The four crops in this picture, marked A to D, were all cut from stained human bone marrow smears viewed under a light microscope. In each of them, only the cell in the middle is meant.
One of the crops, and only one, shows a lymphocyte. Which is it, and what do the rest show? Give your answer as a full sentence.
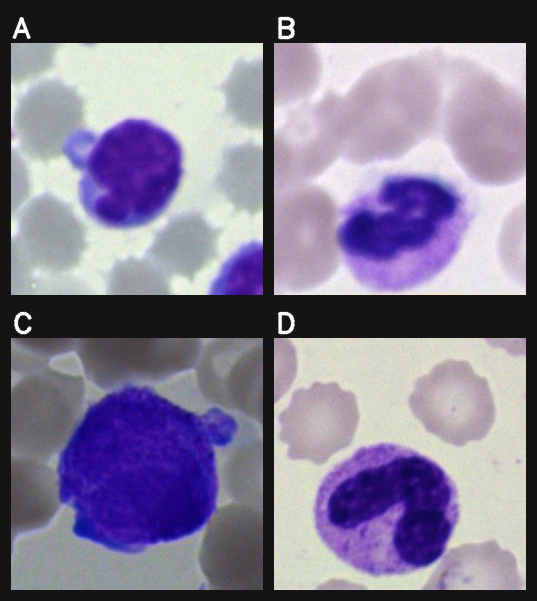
Going crop by crop, crop A is a lymphocyte, while crop B is a segmented neutrophil, crop C is a blast and crop D is a band neutrophil.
